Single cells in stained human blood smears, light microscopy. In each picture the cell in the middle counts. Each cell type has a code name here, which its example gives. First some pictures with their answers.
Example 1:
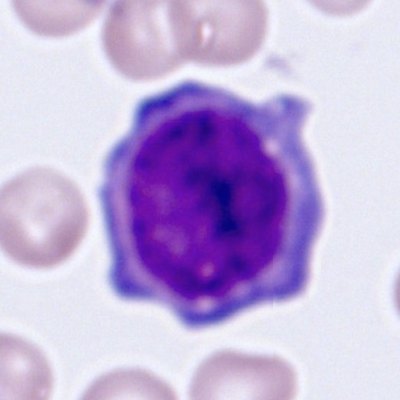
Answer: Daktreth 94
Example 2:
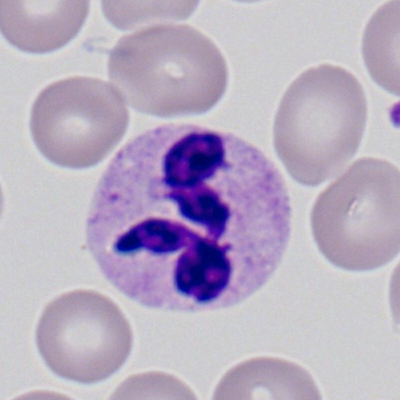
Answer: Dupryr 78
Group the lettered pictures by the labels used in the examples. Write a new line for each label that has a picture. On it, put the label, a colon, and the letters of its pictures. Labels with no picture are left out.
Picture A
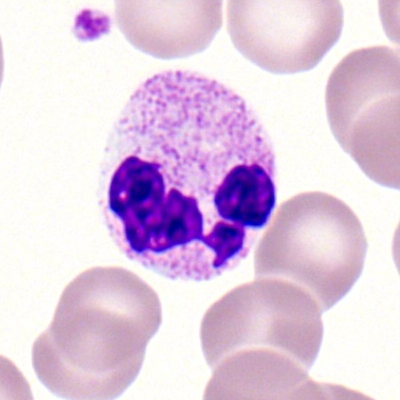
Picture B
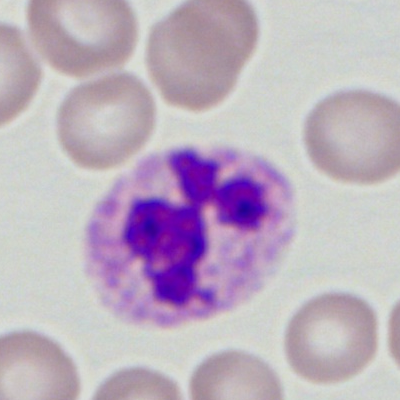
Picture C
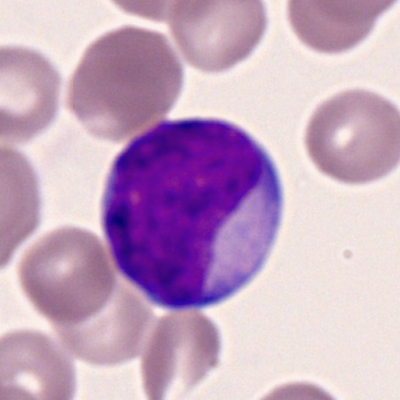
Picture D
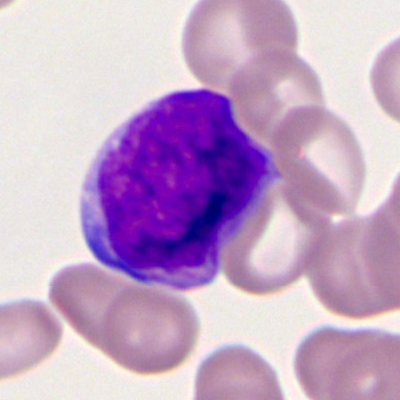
Daktreth 94: C, D
Dupryr 78: A, B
